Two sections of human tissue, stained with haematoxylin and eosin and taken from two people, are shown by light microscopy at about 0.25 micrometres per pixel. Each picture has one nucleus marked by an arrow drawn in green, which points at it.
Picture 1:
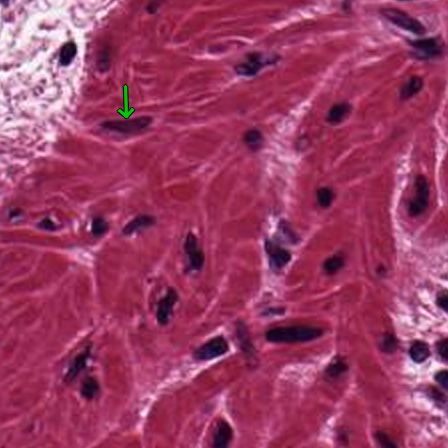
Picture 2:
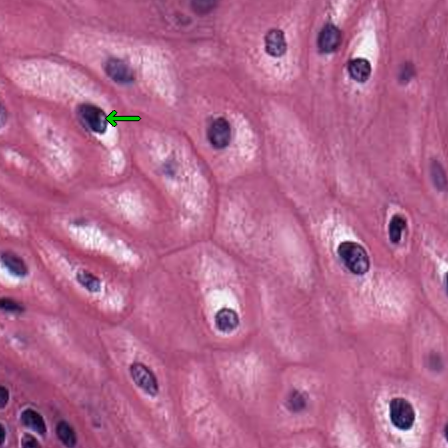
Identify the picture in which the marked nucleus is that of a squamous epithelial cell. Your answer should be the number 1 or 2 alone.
2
